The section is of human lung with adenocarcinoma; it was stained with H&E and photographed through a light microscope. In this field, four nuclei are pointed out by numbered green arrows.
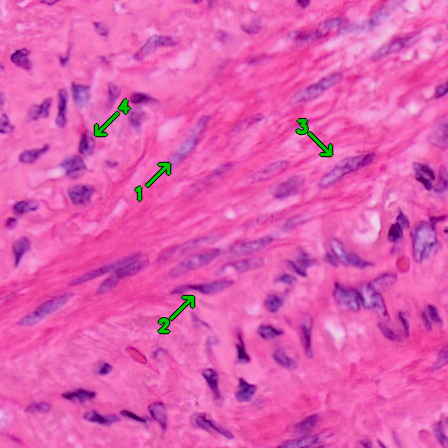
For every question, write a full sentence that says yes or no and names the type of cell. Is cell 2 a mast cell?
No, a mast cell is not what cell 2 is; it is a smooth muscle cell or pericyte.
